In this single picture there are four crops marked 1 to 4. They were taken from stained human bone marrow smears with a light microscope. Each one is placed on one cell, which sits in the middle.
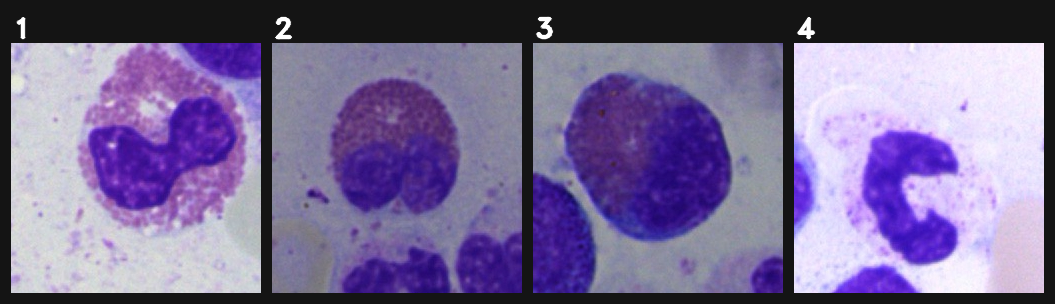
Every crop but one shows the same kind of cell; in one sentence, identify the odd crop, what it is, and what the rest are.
Crop 4 is different, showing a neutrophil, whereas all the others show eosinophils.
